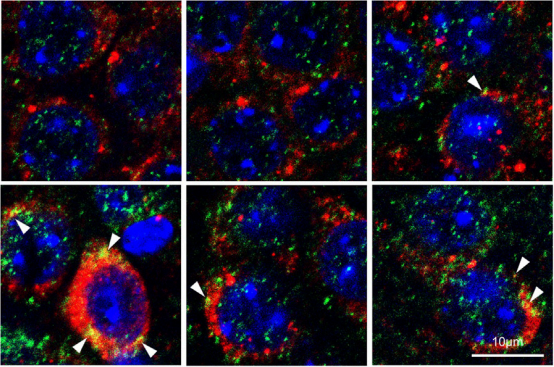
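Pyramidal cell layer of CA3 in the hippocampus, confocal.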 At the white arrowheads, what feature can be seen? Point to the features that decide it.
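White arrowheads point to small yellow dots. The yellow dots lie where green and red dots overlap in the cytoplasm around blue nuclei.
Conclusion: co-localized puncta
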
